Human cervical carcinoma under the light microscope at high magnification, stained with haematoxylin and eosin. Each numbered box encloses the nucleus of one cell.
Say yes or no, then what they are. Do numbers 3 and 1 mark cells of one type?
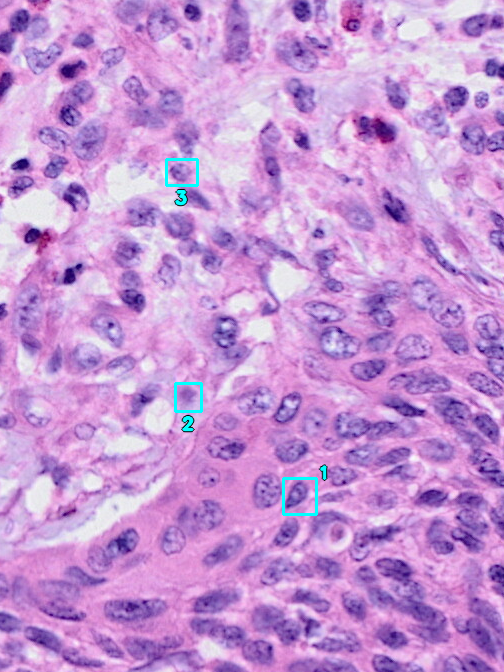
No, cell 3 is a macrophage or monocyte whereas cell 1 is a squamous carcinoma cell.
